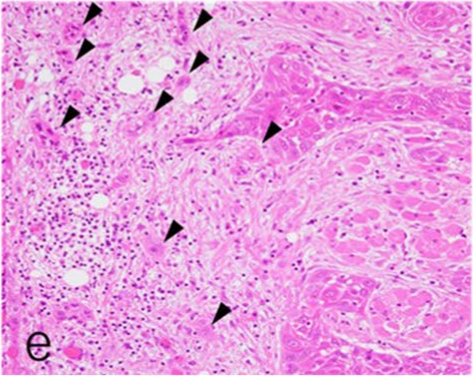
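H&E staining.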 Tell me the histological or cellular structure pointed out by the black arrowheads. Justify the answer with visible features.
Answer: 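The arrowheads point to single cells or tiny clusters of eosinophilic cells detached in the stroma. These small clusters lie away from the larger tumor nests. So: budding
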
